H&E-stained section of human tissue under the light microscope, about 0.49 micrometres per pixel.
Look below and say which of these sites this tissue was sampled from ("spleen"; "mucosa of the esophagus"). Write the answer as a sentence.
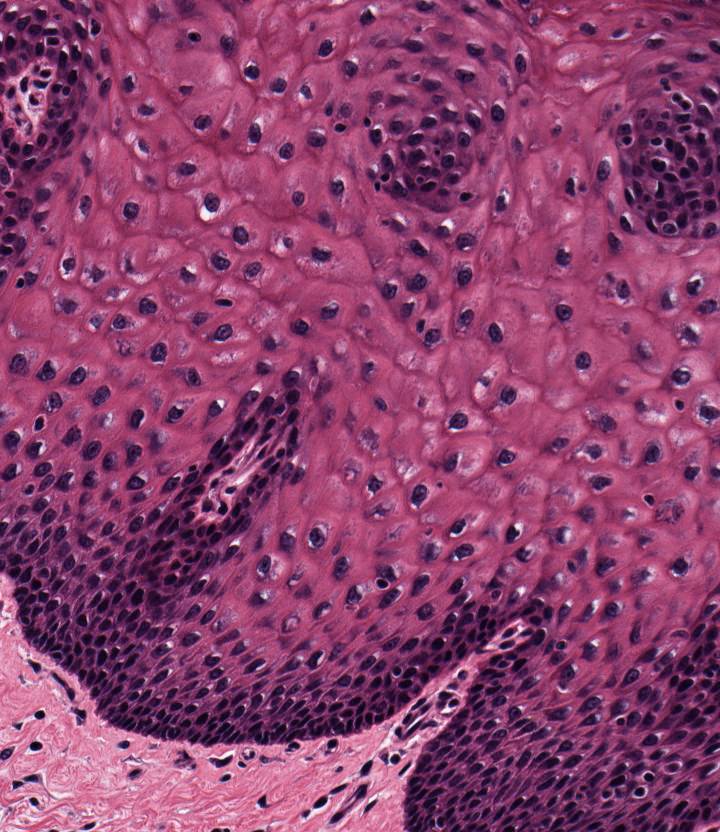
The site this tissue was sampled from is the mucosa of the esophagus.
